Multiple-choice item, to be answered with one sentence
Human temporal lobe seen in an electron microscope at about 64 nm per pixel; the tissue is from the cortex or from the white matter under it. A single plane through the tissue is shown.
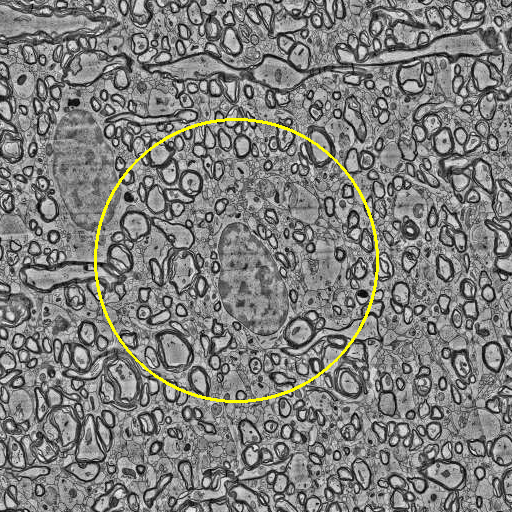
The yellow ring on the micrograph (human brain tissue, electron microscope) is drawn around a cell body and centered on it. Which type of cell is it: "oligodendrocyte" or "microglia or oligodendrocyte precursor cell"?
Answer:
The ring is centered on a microglial cell or oligodendrocyte precursor cell.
